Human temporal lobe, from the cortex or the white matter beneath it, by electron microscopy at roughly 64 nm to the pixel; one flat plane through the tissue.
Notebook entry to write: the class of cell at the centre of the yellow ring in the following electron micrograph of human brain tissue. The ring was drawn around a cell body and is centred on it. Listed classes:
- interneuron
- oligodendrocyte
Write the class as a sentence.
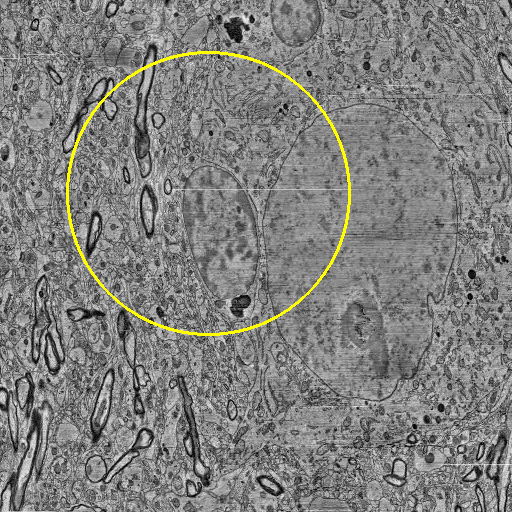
The yellow ring sits on an oligodendrocyte.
